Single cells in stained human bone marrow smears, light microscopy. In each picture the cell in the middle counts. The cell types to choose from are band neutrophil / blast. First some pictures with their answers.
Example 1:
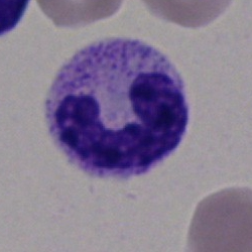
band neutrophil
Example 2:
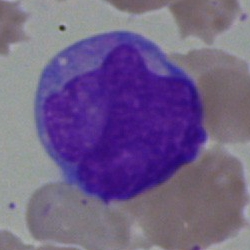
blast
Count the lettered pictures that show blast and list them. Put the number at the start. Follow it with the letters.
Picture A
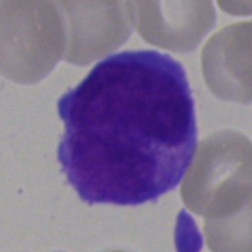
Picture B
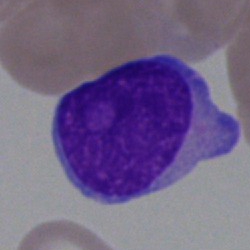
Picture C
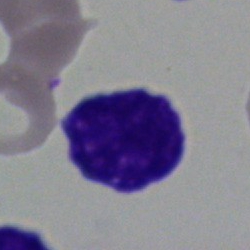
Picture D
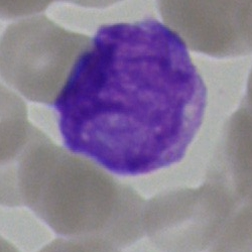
Count: 4 (A, B, C, D)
